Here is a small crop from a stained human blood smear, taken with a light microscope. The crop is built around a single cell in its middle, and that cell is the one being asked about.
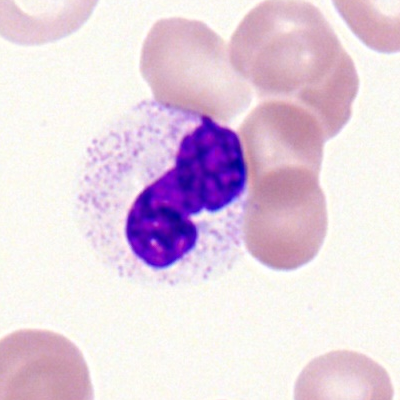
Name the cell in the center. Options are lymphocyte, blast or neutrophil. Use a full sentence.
The cell featured at the centre of this crop is a neutrophil.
